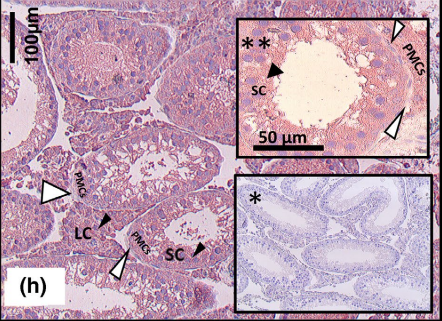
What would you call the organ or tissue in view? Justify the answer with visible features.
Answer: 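Testis. Round tubules in cross-section, each with a multilayered epithelium around a central lumen. Small groups of cells lie in the spaces between the tubules.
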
